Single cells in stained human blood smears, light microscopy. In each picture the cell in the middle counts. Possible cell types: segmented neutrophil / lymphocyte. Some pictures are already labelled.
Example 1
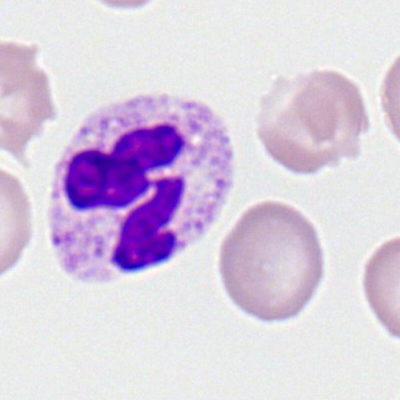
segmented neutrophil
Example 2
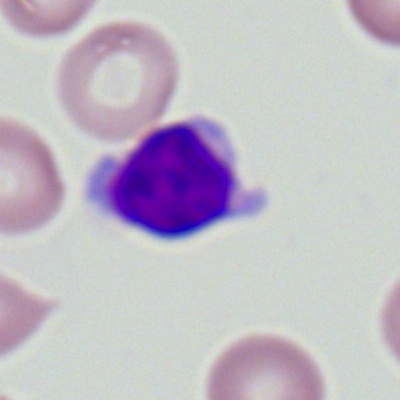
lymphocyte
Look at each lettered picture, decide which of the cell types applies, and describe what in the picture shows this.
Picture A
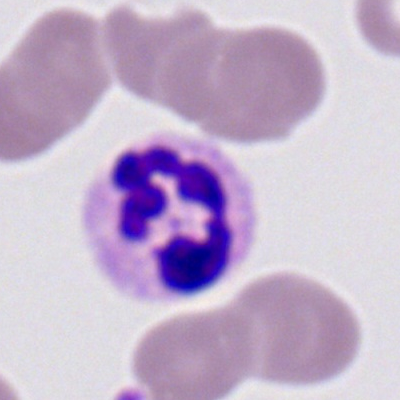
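Answer: segmented neutrophil. The cytoplasm is plentiful and pale pink-lilac.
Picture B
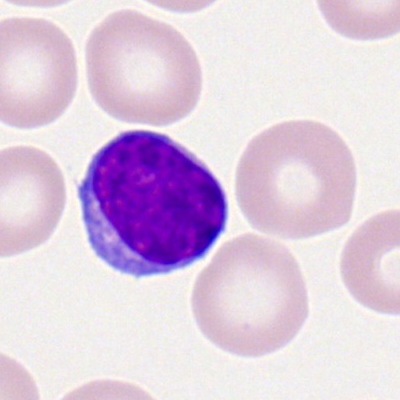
Answer: lymphocyte. The nucleus fills most of the cell, leaving little cytoplasm.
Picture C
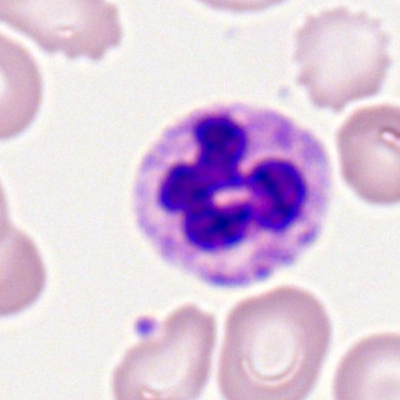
Answer: segmented neutrophil. The cytoplasm is abundant and pale pink-lilac.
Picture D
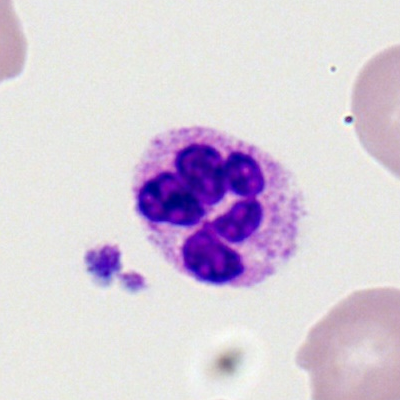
Answer: segmented neutrophil. The nucleus is split into at least five separate lobes.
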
